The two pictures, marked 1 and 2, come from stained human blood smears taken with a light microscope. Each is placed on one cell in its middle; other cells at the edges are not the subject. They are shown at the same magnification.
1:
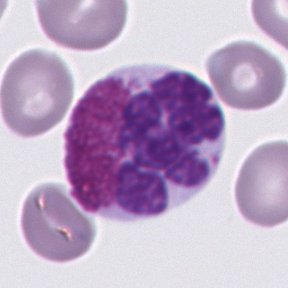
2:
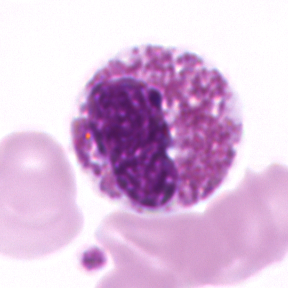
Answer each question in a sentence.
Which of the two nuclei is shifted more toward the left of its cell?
It is the nucleus in crop 2 that lies further toward the left of its cell.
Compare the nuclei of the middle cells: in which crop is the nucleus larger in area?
Larger is the nucleus in crop 1, at roughly 2 times the area of the other.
